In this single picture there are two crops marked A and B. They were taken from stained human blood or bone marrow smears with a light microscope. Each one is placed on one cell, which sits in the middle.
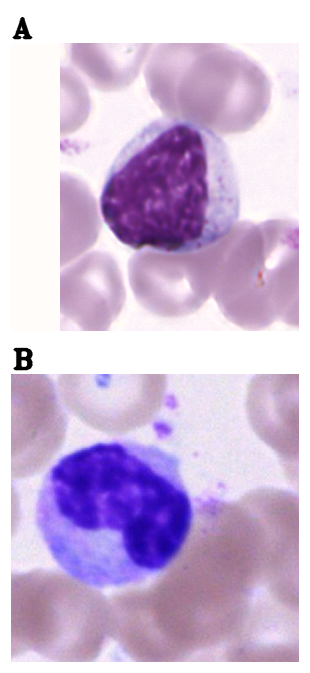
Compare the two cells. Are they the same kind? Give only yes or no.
yes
